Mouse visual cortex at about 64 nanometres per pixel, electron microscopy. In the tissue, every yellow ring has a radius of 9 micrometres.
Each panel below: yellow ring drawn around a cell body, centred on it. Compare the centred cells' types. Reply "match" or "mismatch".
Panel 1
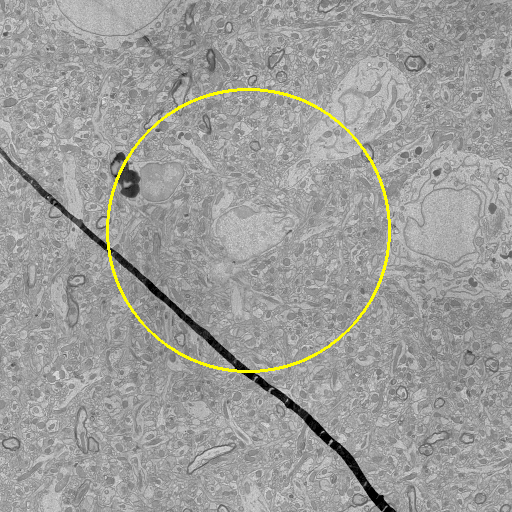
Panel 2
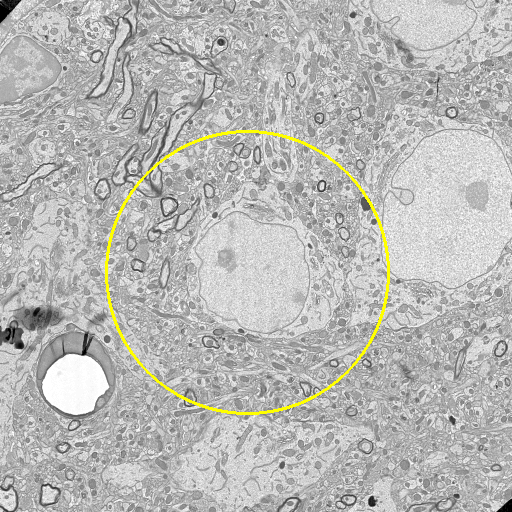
mismatch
